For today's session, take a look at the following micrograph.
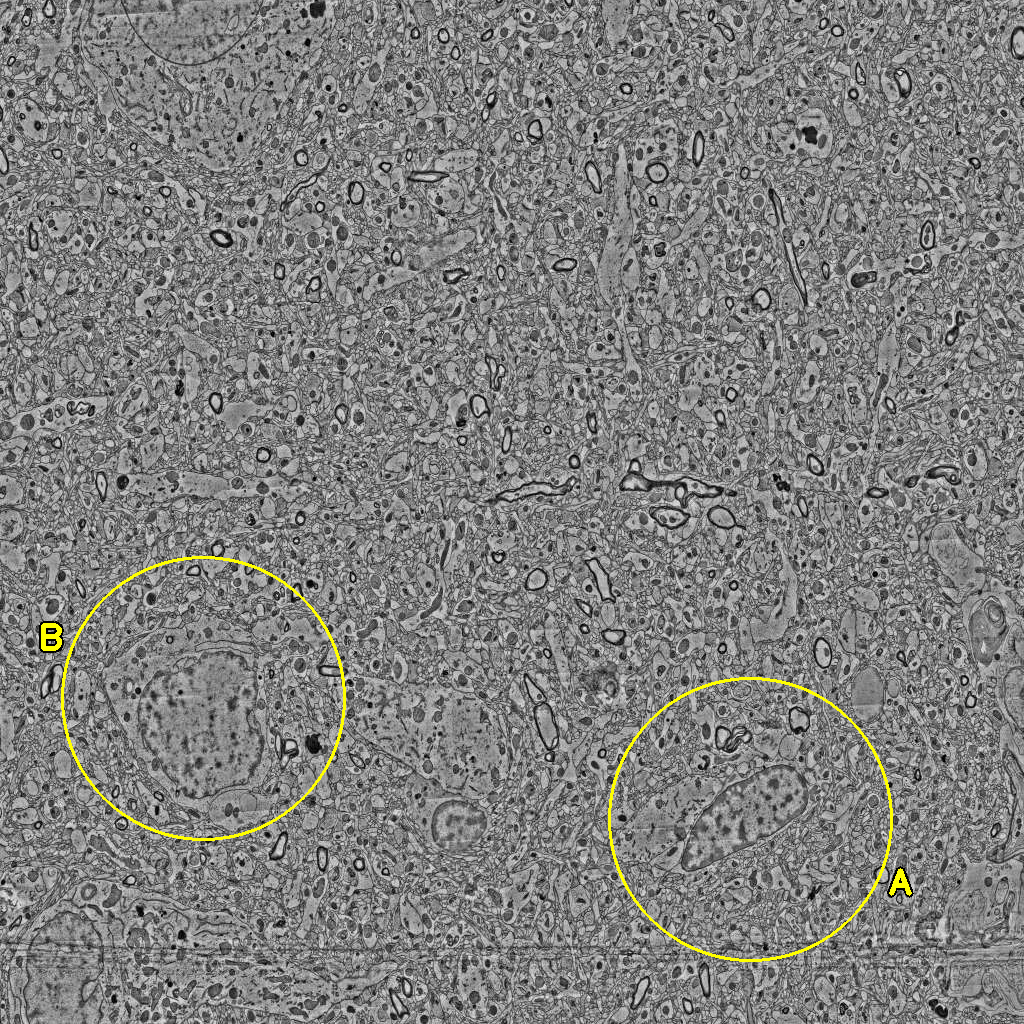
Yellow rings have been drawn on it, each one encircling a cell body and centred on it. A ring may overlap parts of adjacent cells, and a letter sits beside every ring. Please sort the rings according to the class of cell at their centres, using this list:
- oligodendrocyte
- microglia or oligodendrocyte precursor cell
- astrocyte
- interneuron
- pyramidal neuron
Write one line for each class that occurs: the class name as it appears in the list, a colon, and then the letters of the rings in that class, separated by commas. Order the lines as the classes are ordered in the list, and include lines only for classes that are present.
microglia or oligodendrocyte precursor cell: A
interneuron: B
